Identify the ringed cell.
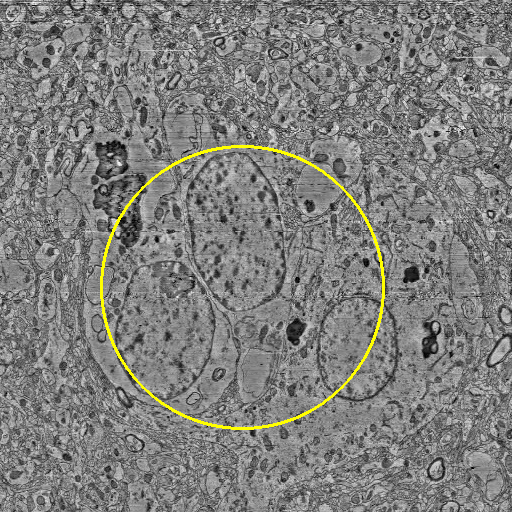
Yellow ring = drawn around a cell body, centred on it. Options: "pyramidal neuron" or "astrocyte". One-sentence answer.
What the ring is centred on is an astrocyte.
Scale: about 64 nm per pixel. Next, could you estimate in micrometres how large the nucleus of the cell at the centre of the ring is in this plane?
About 11 by 6 micrometres; in this plane the nucleus is clearly longer than it is wide.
